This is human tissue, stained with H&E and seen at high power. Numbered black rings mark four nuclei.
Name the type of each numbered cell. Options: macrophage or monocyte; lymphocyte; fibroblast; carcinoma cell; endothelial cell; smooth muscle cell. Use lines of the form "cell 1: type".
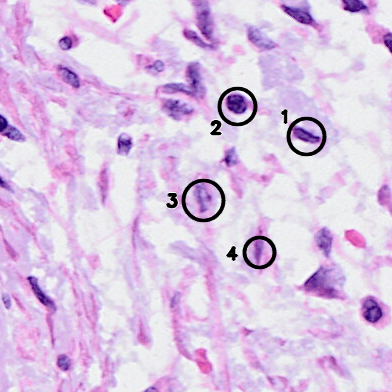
cell 1: fibroblast
cell 2: lymphocyte
cell 3: fibroblast
cell 4: fibroblast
